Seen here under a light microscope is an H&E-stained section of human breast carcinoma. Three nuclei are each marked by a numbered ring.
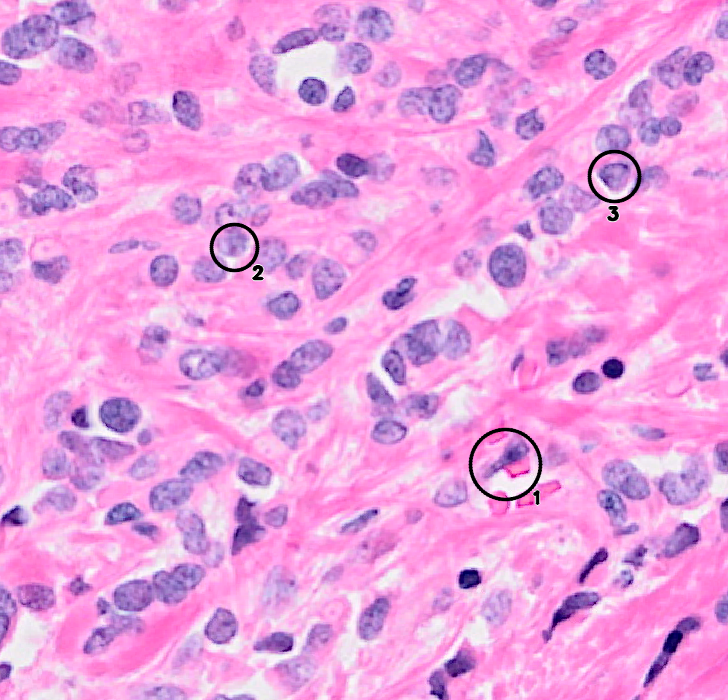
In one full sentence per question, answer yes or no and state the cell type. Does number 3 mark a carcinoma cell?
Yes, the cell that bears the number 3 is a carcinoma cell.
